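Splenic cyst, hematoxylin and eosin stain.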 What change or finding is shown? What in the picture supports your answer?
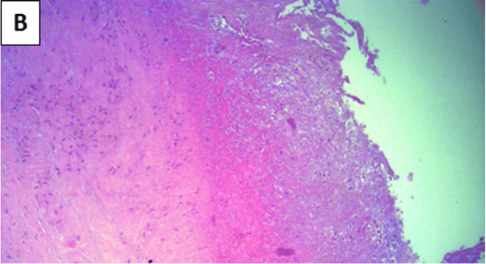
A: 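The pink material lies on a paler fibrous wall with scattered nuclei. Free surface is ragged without an epithelial lining.
Fibrin deposits.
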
